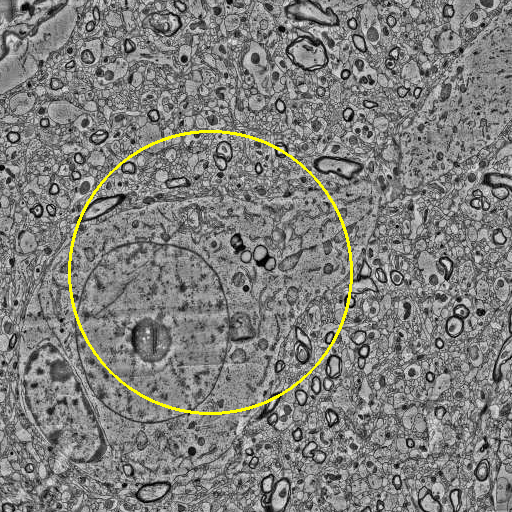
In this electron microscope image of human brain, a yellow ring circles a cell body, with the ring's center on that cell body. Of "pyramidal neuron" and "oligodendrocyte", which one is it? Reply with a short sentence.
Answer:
It is a pyramidal neuron at the center of the ring.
